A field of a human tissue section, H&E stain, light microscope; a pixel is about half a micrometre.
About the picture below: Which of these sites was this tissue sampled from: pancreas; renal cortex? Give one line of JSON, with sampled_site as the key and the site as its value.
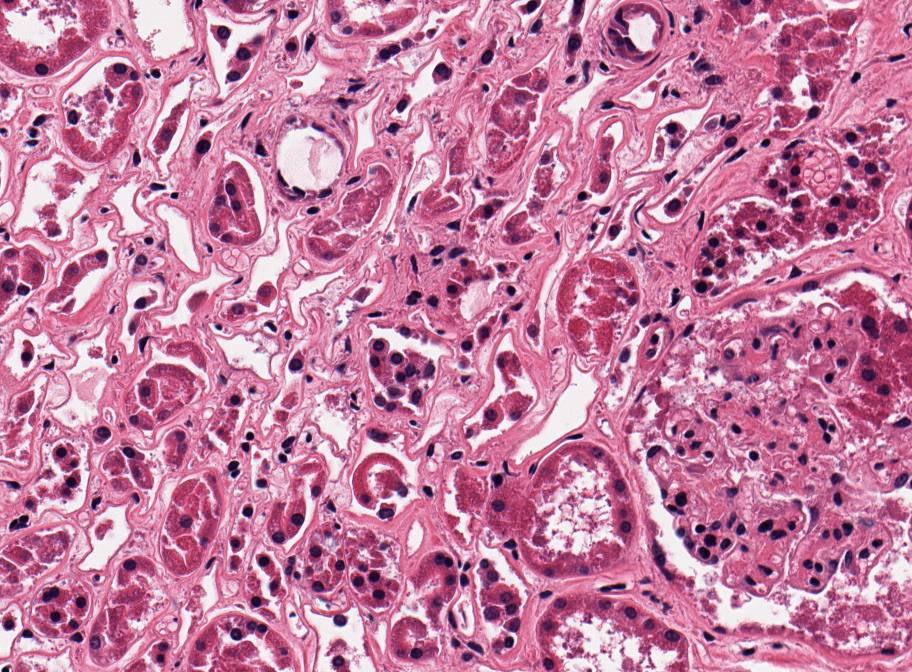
{"sampled_site": "renal cortex"}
